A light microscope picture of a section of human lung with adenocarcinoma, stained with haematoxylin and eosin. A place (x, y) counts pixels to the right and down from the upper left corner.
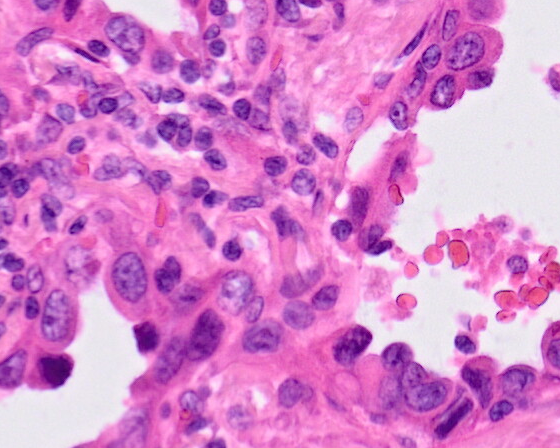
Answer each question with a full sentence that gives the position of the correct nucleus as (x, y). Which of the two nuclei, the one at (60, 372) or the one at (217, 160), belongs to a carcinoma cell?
It is the nucleus at (60, 372) that forms part of a carcinoma cell.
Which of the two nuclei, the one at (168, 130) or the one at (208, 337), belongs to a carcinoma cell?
Rather than the other nucleus, the one at (208, 337) belongs to a carcinoma cell.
